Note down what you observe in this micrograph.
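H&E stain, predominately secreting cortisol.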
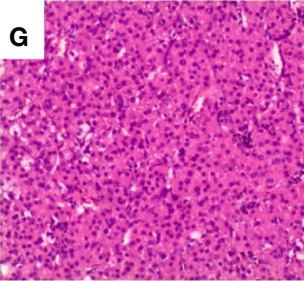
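This adrenocortical tumour consists largely of eosinophilic compact cells packed in solid sheets, with dense pink cytoplasm and round dark nuclei. A few paler cells with lighter cytoplasm are scattered among them, and small thin-walled spaces interrupt the sheets.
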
